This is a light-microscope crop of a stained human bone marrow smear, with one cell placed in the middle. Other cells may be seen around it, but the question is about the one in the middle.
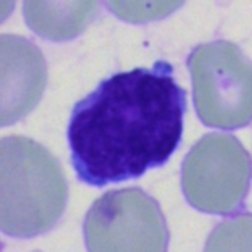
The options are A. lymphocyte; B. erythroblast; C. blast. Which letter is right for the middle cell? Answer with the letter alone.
A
